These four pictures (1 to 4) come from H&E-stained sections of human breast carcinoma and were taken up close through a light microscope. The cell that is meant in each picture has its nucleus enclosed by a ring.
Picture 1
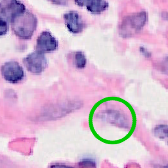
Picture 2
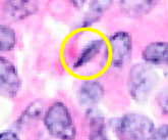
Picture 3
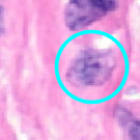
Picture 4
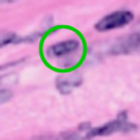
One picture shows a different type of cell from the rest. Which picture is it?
3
